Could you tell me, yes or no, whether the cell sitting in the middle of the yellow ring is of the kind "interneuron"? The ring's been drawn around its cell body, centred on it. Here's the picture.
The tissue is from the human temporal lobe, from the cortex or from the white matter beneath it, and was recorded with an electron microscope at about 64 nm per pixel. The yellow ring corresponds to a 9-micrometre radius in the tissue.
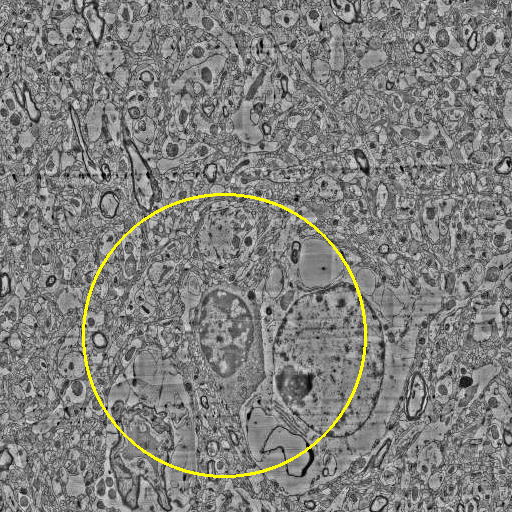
No, it is of another kind.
